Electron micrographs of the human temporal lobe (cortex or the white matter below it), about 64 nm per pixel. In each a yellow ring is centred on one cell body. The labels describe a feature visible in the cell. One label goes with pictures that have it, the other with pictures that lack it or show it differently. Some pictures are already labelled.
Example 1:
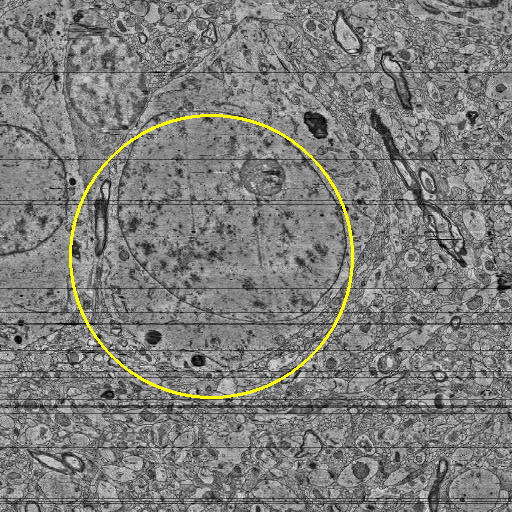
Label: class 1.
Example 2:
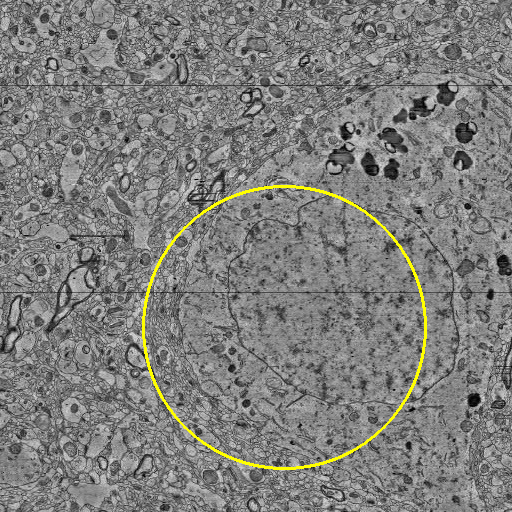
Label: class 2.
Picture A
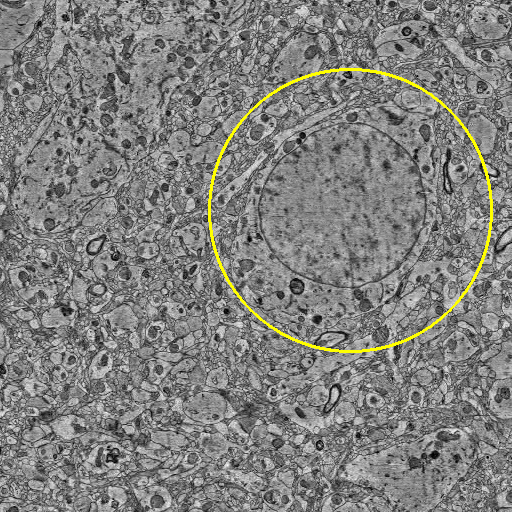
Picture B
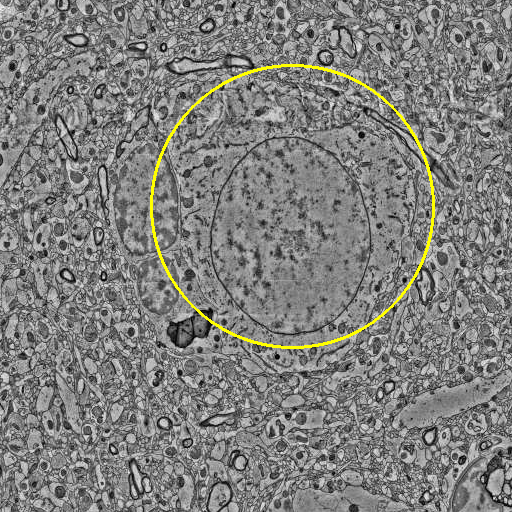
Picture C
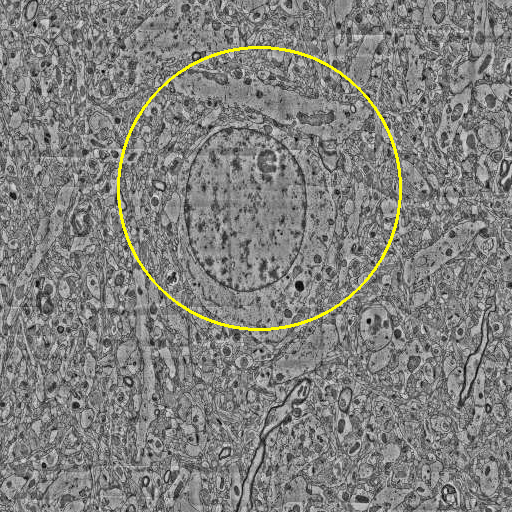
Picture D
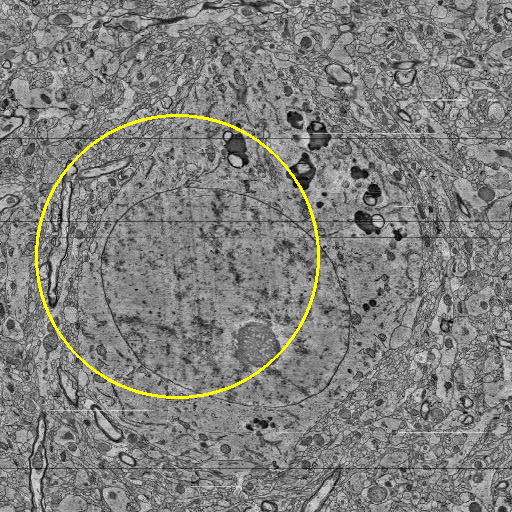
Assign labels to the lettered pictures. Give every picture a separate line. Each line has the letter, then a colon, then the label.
A: class 2.
B: class 2.
C: class 1.
D: class 1.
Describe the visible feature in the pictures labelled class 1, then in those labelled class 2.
class 1: nucleolus seen; class 2: no nucleolus seen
